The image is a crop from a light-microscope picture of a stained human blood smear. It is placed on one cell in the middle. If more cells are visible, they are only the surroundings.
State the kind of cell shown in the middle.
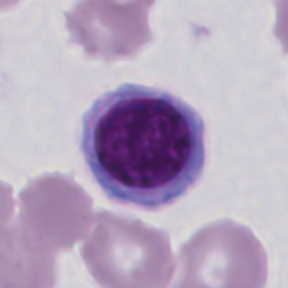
plasma cell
